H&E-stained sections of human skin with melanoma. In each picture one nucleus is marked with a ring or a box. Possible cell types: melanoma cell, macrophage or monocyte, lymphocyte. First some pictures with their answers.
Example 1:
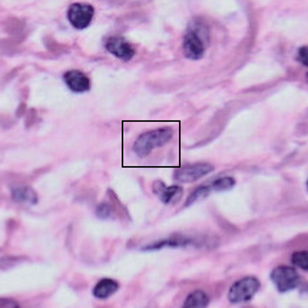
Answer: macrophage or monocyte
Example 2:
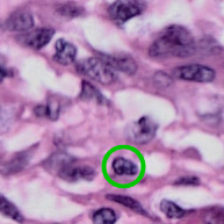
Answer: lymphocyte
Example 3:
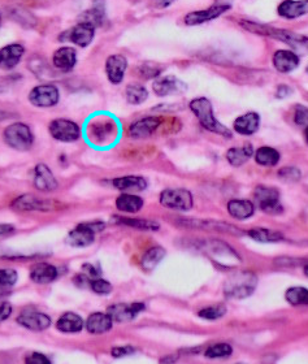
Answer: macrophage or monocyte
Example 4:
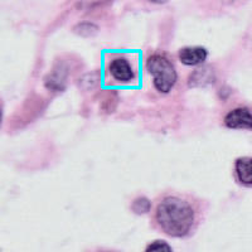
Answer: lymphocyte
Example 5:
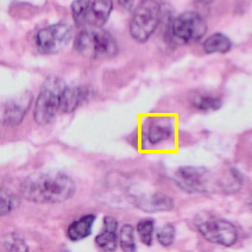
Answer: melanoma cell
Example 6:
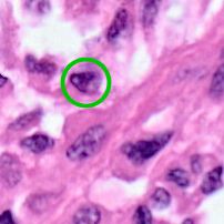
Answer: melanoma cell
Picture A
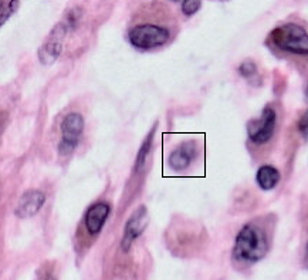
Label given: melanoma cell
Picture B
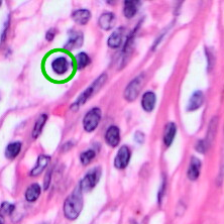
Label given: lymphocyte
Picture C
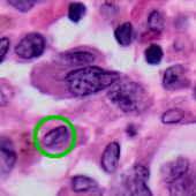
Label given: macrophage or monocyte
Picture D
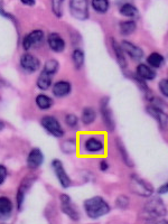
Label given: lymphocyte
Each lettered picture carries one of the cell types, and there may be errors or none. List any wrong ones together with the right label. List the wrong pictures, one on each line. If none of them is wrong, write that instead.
A: macrophage or monocyte, not melanoma cell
